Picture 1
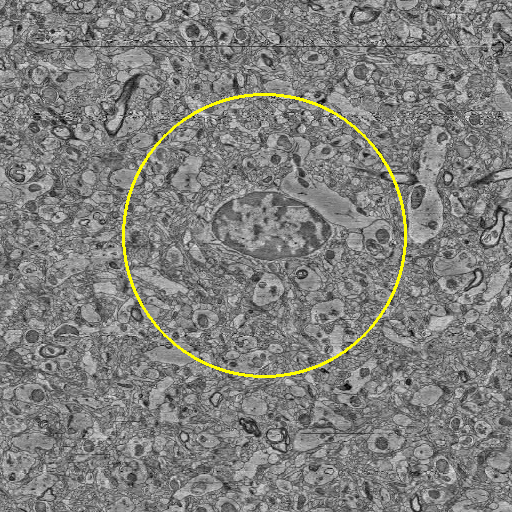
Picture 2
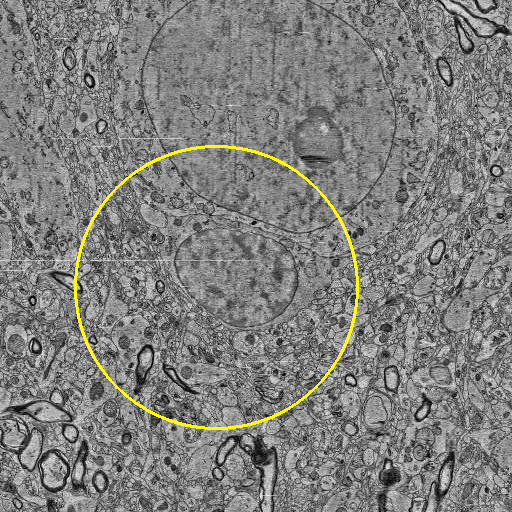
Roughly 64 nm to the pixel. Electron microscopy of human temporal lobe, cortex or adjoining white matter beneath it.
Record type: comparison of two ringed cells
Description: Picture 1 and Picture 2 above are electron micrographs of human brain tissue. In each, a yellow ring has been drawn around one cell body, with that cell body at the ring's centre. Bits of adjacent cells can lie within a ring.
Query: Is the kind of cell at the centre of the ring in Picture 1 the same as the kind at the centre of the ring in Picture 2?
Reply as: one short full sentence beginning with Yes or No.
No, the two ringed cells are of two separate kinds.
